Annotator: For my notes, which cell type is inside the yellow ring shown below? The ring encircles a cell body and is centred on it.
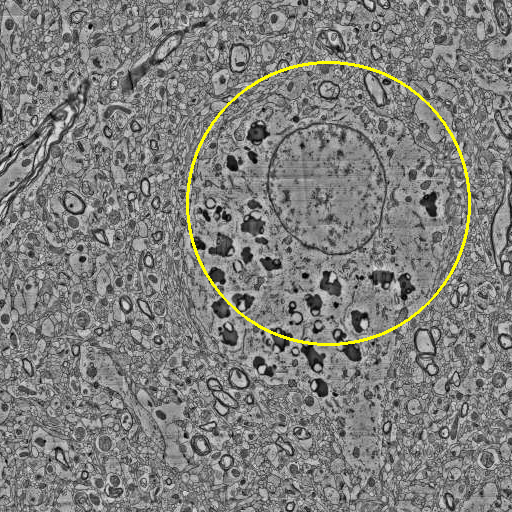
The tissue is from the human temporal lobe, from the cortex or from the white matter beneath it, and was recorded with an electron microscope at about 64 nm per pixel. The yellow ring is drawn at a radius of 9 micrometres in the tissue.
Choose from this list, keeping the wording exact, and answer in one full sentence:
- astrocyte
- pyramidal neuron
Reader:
At the centre of the yellow ring there is a pyramidal neuron, as shown in the picture.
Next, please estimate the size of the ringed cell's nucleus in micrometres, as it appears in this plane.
The ringed cell's nucleus is about 8 micrometres across in this plane.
